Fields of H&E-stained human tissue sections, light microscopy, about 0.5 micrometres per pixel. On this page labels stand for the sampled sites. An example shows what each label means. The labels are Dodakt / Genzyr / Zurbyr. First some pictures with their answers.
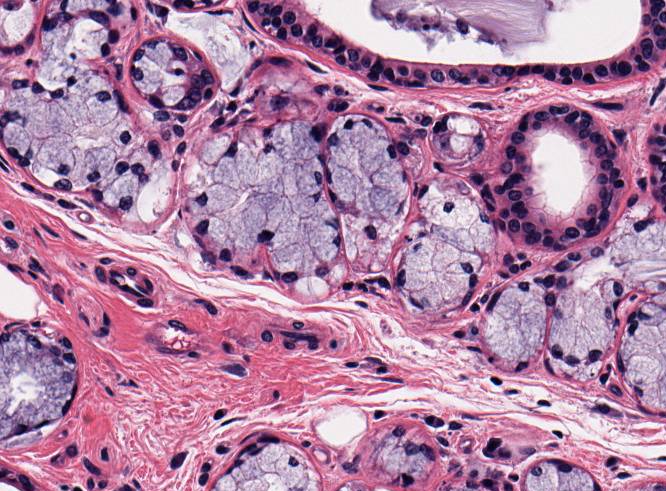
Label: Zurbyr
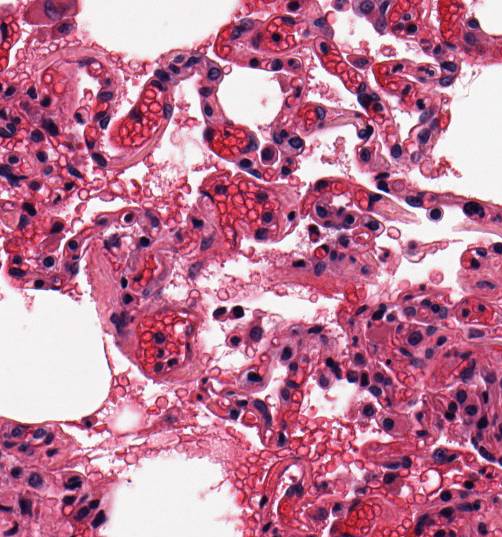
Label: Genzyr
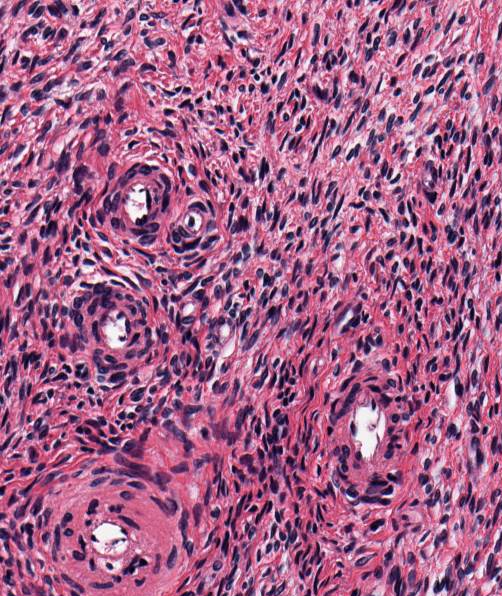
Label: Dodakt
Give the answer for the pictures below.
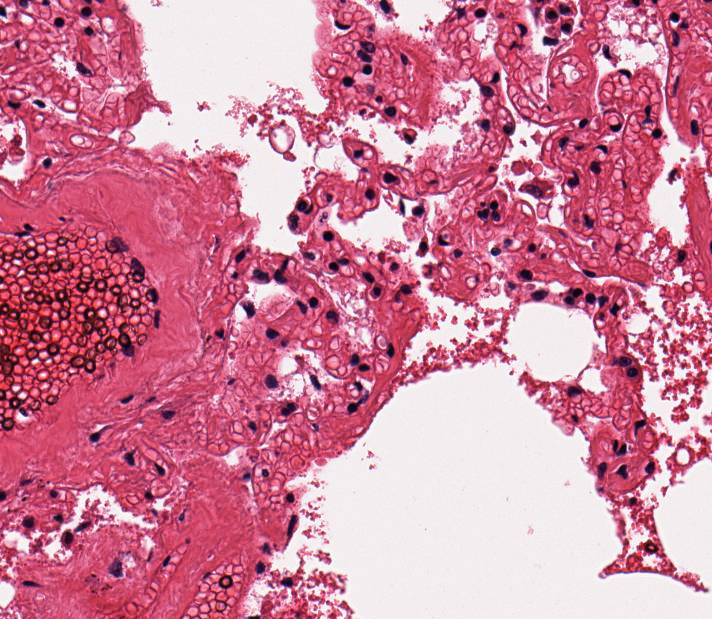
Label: Genzyr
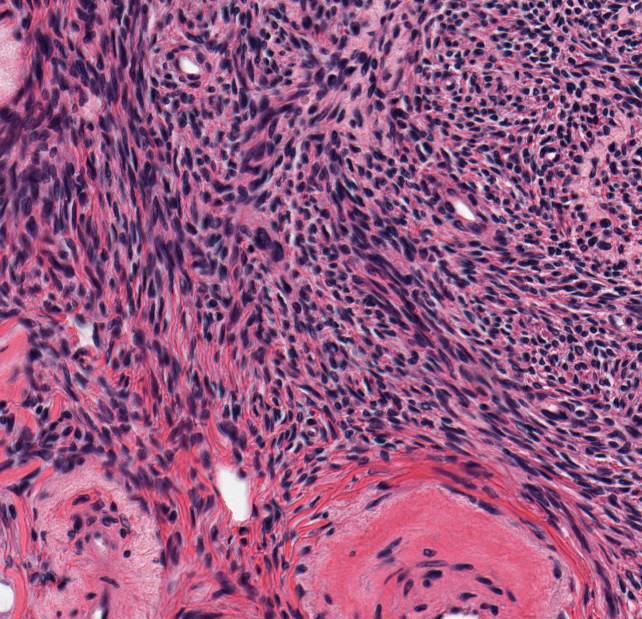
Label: Dodakt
